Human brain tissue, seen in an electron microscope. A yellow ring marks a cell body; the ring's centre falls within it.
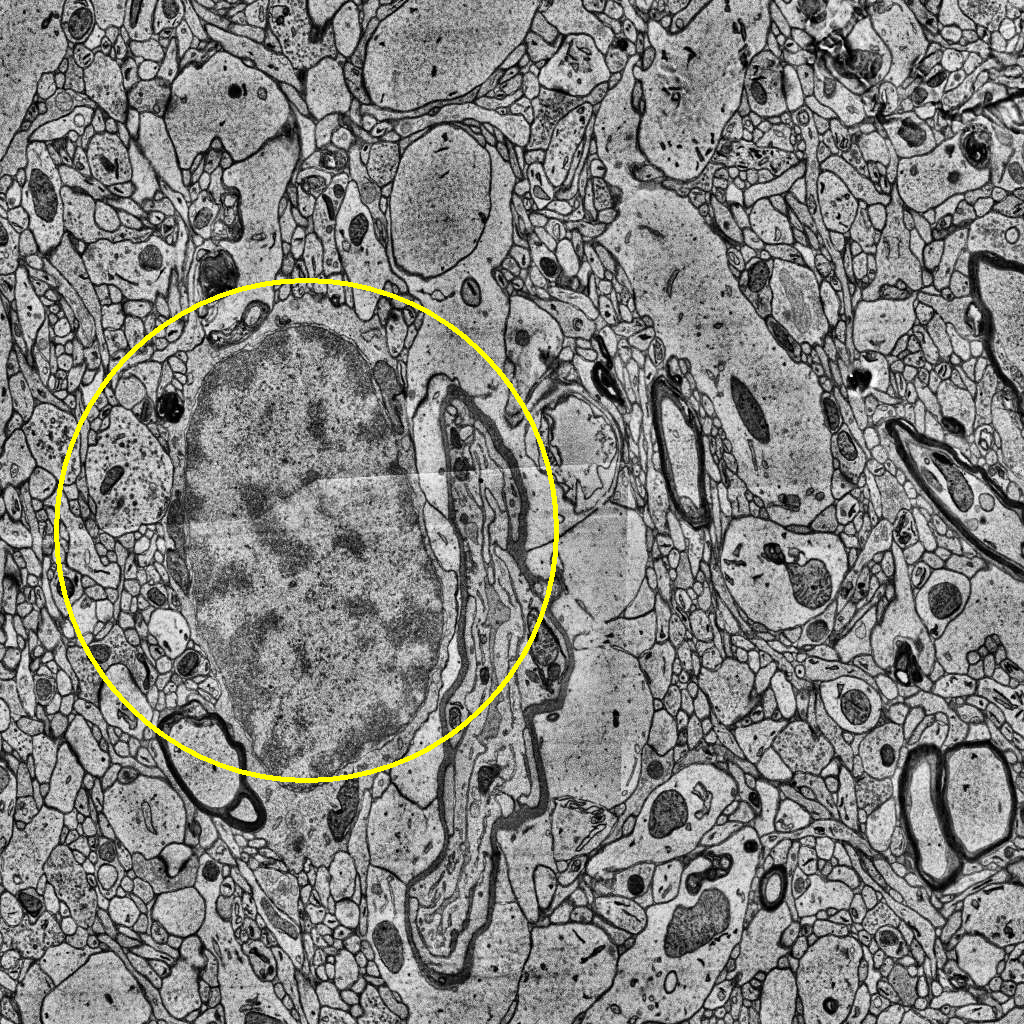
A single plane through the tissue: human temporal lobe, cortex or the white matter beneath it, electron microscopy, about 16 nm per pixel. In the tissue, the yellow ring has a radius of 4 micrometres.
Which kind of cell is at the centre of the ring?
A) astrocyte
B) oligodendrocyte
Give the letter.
B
